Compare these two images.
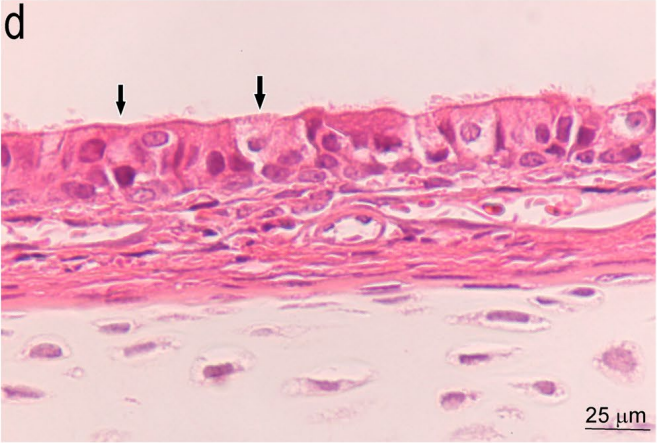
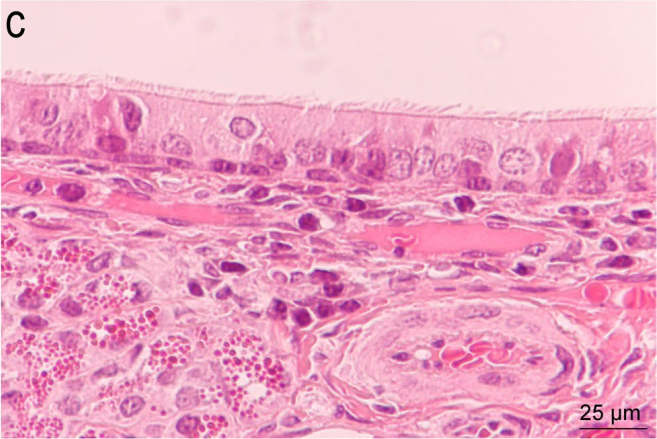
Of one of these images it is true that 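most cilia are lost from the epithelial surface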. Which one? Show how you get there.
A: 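First image: the apical surface is largely bare, with only sparse short projections. Second image: a continuous fine fringe covers the apical surface. That points to this answer: the first image.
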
